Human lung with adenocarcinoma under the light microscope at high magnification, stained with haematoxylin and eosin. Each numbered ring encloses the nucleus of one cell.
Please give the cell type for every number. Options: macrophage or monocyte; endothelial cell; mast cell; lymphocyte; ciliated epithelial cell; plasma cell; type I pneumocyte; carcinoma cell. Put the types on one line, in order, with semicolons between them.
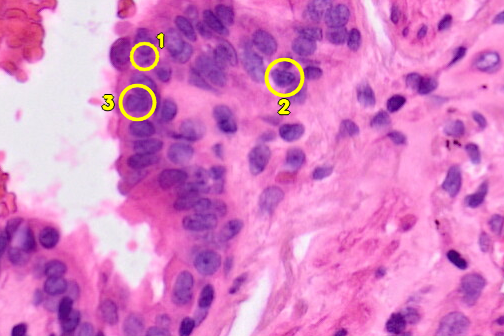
ciliated epithelial cell; lymphocyte; ciliated epithelial cell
